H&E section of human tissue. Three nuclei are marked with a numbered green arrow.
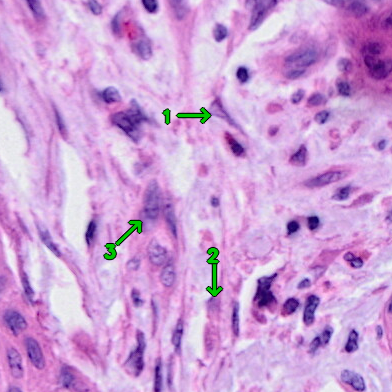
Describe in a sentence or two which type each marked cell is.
Cell 1 is a fibroblast, cell 2 is a fibroblast and cell 3 is an endothelial cell.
